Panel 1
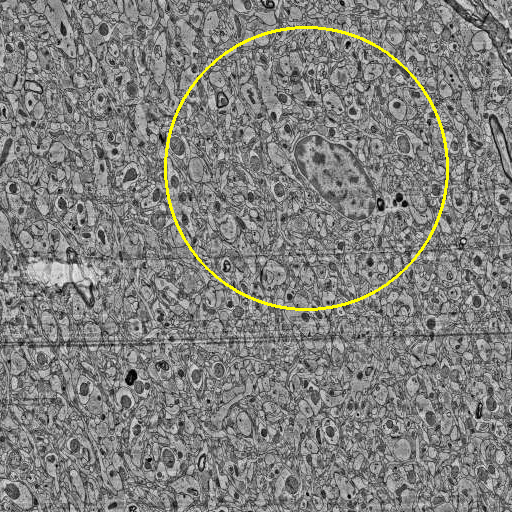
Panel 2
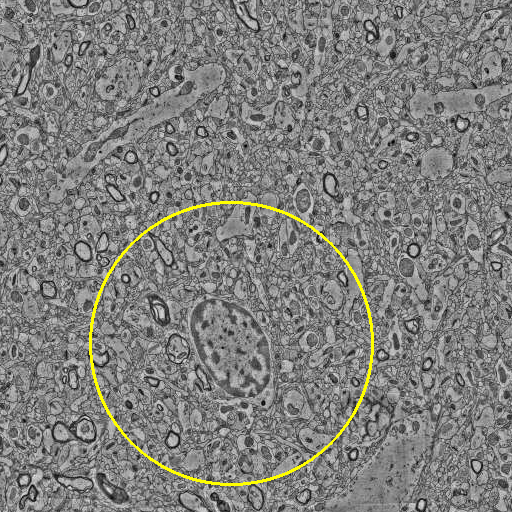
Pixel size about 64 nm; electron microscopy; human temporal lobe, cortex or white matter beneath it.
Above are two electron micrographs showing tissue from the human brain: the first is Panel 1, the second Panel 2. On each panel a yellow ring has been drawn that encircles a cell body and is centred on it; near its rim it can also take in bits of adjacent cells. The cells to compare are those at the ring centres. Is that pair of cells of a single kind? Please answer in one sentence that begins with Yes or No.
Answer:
Yes, the ring-centred cells of Panel 1 and Panel 2 belong to one kind.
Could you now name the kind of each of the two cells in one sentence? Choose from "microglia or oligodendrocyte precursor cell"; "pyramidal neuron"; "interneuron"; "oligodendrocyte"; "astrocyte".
Each of the two cells is a microglial cell or oligodendrocyte precursor cell.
